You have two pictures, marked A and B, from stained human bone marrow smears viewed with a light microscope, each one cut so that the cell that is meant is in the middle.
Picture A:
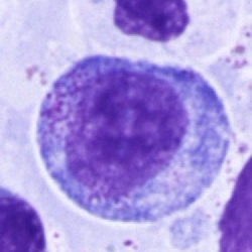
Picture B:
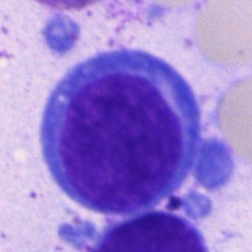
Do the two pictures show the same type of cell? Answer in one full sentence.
No, the types are not the same, since picture A shows a promyelocyte and picture B a blast.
